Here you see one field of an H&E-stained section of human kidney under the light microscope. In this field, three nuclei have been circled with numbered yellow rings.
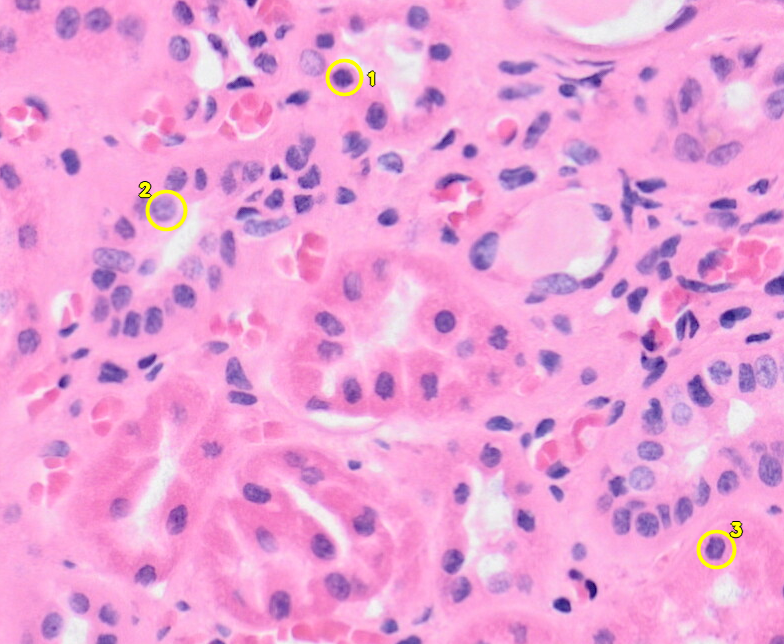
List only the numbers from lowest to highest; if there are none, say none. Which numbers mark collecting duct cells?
2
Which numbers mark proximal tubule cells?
3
